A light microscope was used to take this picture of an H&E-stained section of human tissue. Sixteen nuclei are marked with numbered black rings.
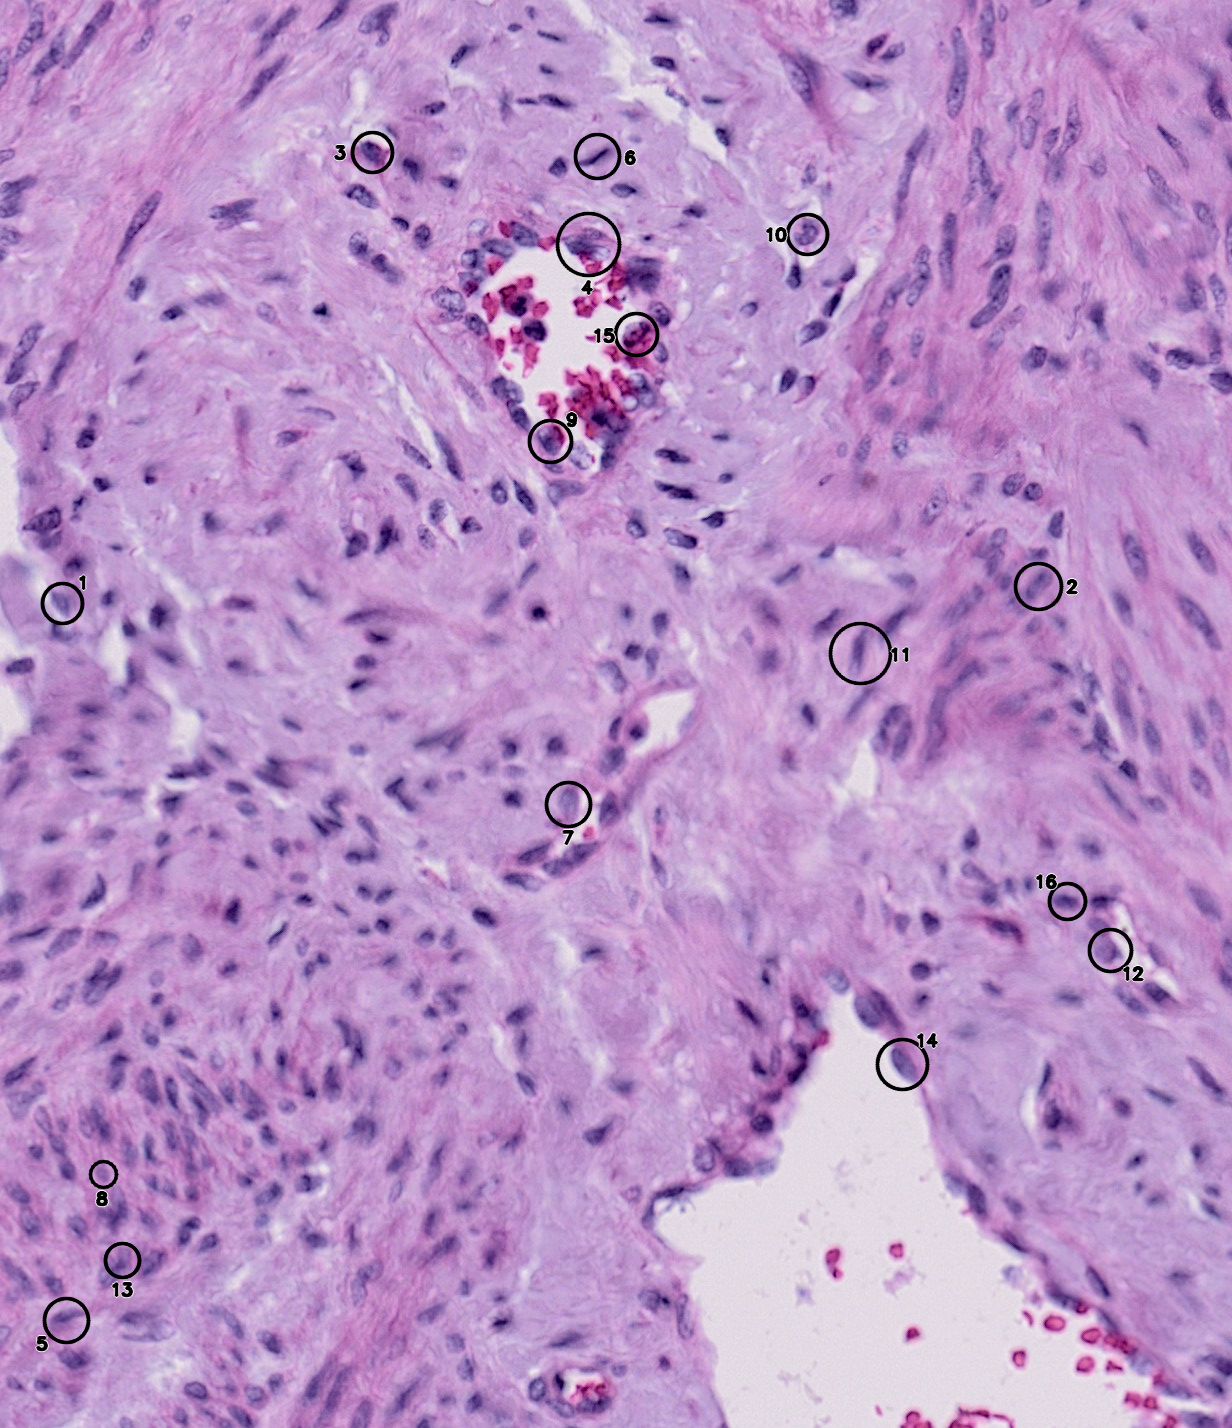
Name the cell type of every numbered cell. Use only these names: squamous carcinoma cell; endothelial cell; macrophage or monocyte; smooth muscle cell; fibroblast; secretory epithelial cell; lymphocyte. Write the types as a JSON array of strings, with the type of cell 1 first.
["fibroblast", "smooth muscle cell", "endothelial cell", "endothelial cell", "smooth muscle cell", "fibroblast", "endothelial cell", "smooth muscle cell", "endothelial cell", "macrophage or monocyte", "fibroblast", "endothelial cell", "smooth muscle cell", "endothelial cell", "endothelial cell", "fibroblast"]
